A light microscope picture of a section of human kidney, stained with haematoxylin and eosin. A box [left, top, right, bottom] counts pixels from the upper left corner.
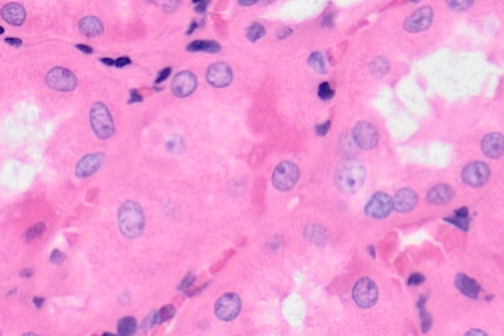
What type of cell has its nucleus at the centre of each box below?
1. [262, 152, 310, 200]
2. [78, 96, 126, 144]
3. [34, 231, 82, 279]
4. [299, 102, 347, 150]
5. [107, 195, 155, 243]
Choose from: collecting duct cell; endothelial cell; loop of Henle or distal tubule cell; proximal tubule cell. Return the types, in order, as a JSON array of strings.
["proximal tubule cell", "proximal tubule cell", "endothelial cell", "endothelial cell", "proximal tubule cell"]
